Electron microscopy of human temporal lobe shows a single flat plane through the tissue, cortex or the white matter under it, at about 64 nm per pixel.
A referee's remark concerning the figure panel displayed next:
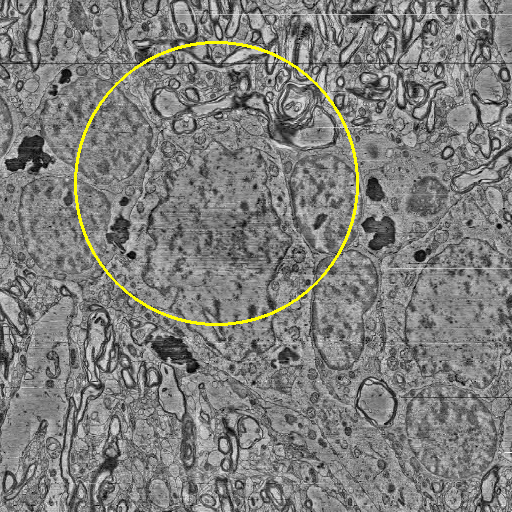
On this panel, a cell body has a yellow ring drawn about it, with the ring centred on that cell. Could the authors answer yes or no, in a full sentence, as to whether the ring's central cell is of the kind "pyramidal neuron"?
No, the cell sitting at the middle of the ring on this panel belongs to a different kind.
